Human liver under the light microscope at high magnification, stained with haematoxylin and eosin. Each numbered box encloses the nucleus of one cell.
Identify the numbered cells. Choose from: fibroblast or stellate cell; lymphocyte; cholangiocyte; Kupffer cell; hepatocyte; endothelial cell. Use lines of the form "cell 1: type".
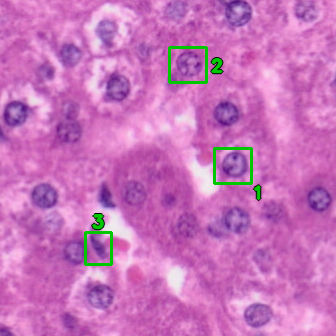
cell 1: hepatocyte
cell 2: hepatocyte
cell 3: Kupffer cell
